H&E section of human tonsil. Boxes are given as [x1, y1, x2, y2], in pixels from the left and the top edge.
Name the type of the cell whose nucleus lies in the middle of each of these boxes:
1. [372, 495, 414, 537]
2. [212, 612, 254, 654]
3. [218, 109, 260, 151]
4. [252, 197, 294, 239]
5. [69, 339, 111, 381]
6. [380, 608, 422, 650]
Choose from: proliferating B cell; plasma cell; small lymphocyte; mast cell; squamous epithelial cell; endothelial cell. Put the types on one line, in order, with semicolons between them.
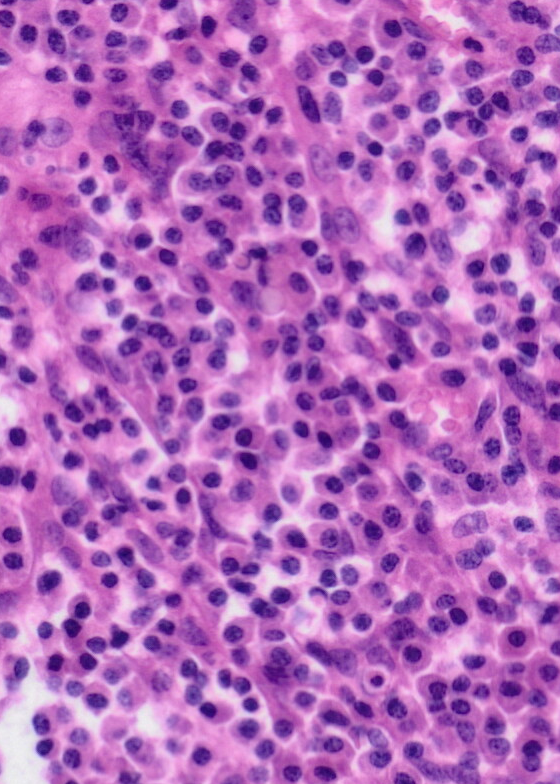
plasma cell; plasma cell; plasma cell; plasma cell; squamous epithelial cell; squamous epithelial cell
